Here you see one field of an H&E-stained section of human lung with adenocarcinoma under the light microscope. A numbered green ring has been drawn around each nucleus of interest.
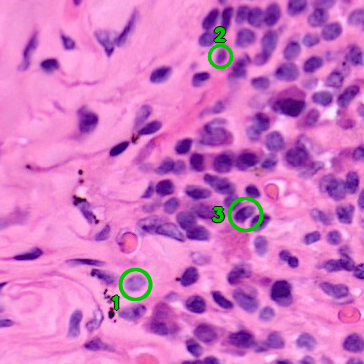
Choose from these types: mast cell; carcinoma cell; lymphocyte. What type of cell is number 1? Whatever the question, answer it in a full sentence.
The cell marked with number 1 is a mast cell.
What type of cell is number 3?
The label 3 in this section denotes a lymphocyte.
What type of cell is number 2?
The numeral 2 marks a lymphocyte in this section.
